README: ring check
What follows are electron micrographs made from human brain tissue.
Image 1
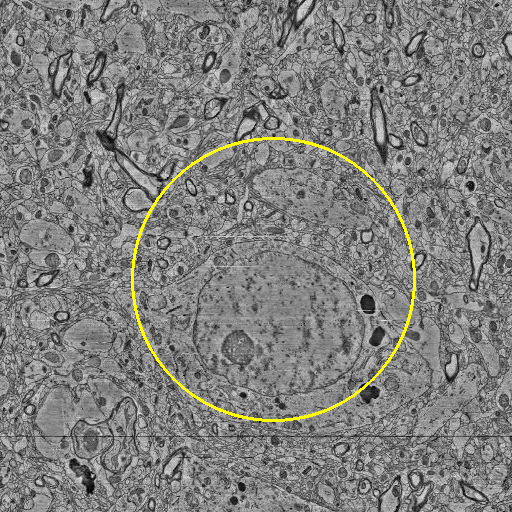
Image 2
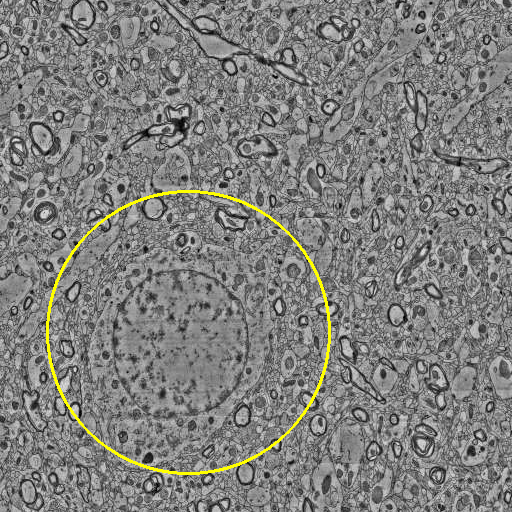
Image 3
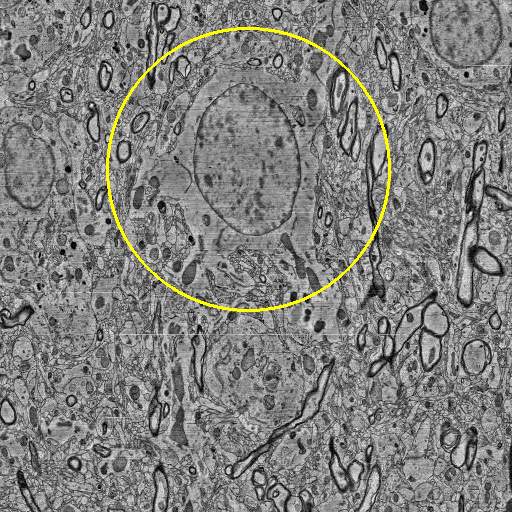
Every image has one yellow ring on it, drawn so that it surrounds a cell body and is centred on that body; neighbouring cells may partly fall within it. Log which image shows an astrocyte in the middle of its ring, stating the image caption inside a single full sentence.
Image 3 is where the cell at the ring's centre matches the one asked for.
